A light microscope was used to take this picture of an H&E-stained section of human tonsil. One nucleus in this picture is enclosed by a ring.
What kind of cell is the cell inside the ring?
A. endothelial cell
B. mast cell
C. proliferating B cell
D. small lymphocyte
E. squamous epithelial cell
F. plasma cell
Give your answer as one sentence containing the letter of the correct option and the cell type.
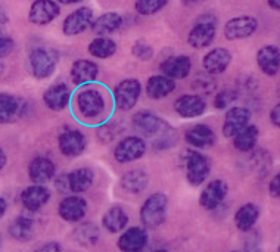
The correct option, F, describes the cell inside the ring as a plasma cell.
